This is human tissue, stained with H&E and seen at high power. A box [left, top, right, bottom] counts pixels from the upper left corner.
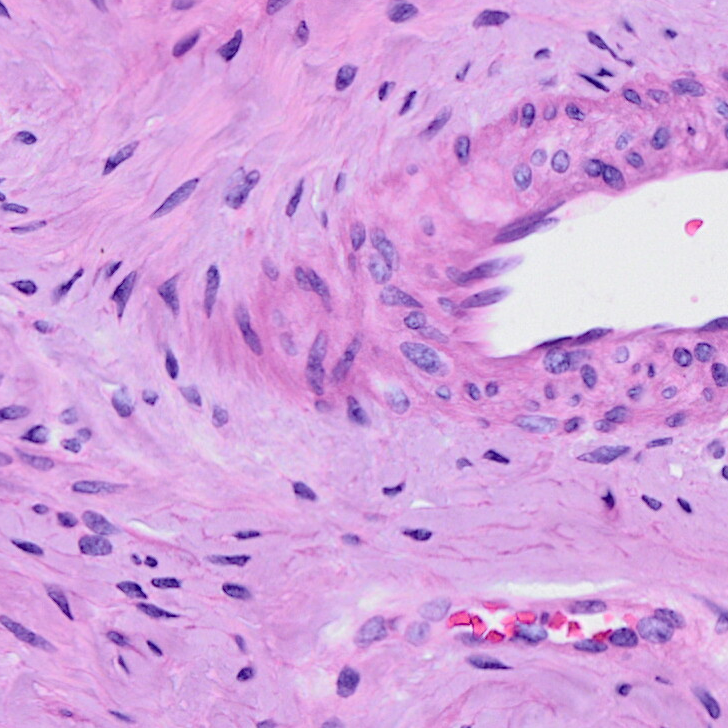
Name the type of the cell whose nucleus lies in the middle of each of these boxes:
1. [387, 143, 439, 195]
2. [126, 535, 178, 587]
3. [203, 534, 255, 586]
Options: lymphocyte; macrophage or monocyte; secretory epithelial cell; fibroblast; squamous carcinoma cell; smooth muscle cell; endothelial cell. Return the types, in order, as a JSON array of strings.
["smooth muscle cell", "fibroblast", "fibroblast"]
